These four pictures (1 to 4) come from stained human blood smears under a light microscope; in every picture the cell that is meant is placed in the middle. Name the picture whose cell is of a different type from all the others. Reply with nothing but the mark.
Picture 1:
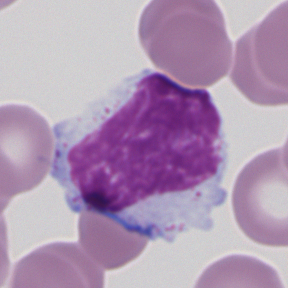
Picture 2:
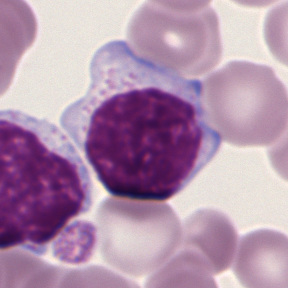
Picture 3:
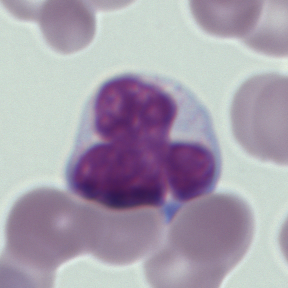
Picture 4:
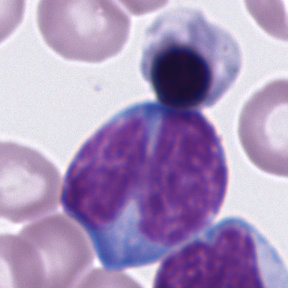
4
